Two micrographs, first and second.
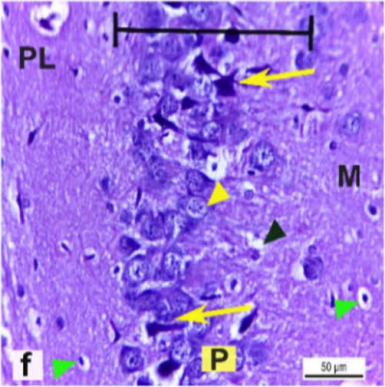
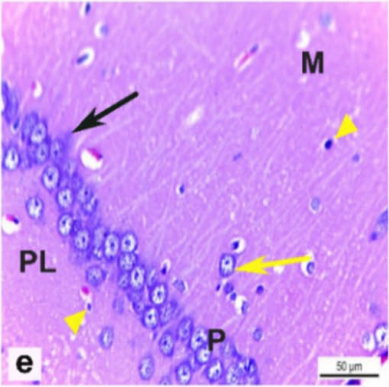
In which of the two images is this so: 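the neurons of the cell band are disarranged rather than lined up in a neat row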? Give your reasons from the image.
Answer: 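First image: the cell band is broad and irregular with crowded, uneven dark and pale cells. Second image: the cell band is a narrow, orderly row of similar cells with pale round nuclei.
Answer: the first image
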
